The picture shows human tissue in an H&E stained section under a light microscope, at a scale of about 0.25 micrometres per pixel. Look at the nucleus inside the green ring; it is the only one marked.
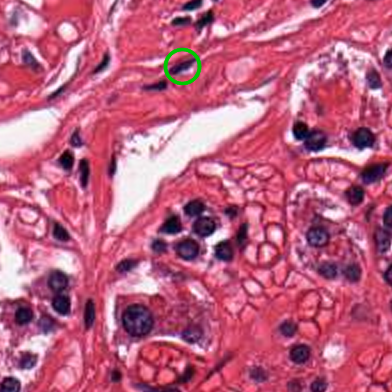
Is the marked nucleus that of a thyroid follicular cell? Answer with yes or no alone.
no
